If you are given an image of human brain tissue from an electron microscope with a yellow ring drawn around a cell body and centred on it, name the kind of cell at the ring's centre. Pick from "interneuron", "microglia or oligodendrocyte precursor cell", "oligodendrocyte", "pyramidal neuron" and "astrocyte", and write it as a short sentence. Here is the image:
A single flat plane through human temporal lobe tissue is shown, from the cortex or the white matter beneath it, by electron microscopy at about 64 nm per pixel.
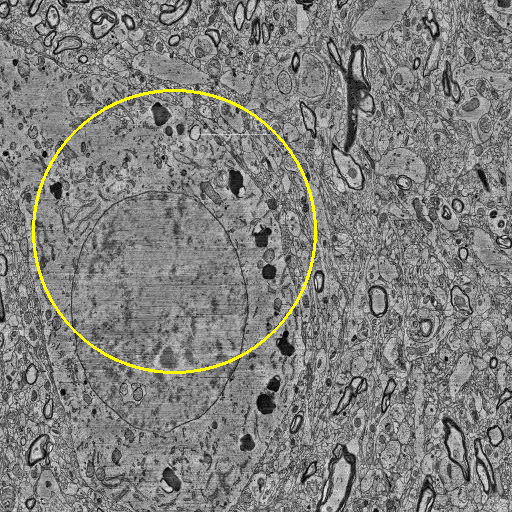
The cell at the ring's centre is a pyramidal neuron.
